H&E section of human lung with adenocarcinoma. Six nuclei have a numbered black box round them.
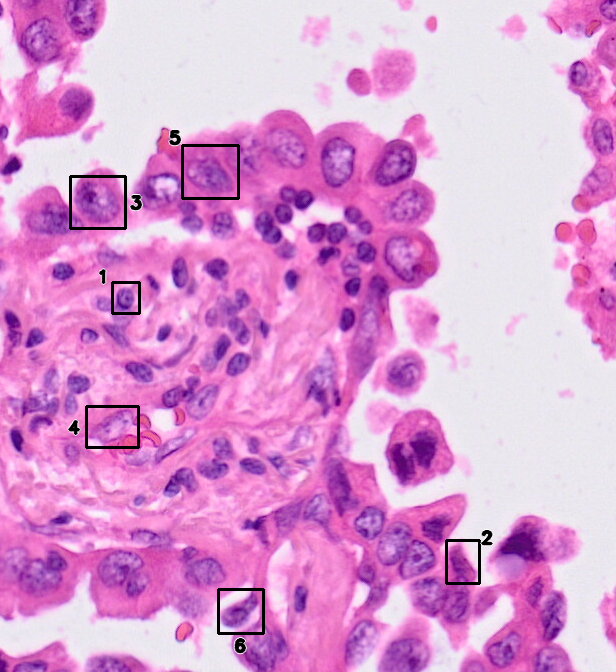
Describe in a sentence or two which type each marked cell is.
Cell 1 is a lymphocyte. Cells 2, 3, 5 and 6 are carcinoma cells. Cell 4 is an endothelial cell.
